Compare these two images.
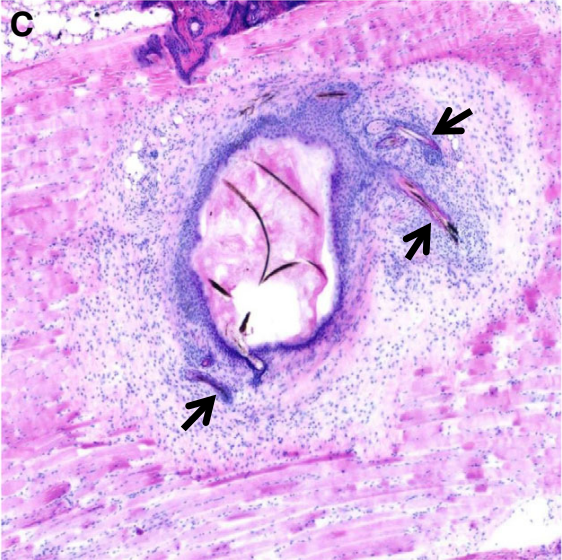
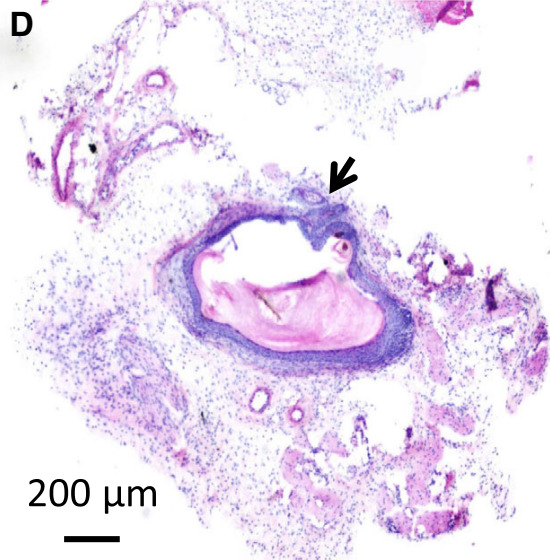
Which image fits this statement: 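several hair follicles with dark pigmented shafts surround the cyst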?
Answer: the first image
